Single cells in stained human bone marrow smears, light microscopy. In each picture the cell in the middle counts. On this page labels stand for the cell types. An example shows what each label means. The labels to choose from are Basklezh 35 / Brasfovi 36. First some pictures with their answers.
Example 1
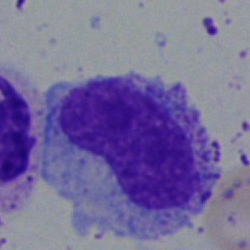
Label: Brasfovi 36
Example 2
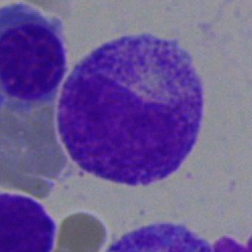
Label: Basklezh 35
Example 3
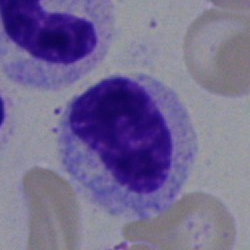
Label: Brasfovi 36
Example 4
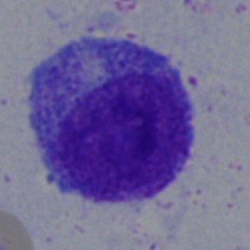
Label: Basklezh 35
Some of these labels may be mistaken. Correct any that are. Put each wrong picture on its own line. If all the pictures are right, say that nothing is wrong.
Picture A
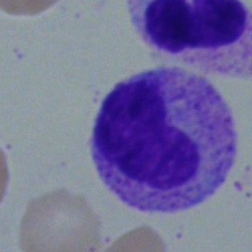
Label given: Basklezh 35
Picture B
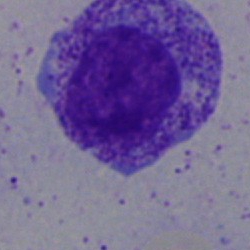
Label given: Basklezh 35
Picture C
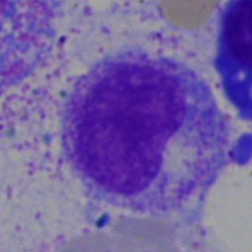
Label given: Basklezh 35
A is labelled Basklezh 35; correct label: Brasfovi 36
C is labelled Basklezh 35; correct label: Brasfovi 36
